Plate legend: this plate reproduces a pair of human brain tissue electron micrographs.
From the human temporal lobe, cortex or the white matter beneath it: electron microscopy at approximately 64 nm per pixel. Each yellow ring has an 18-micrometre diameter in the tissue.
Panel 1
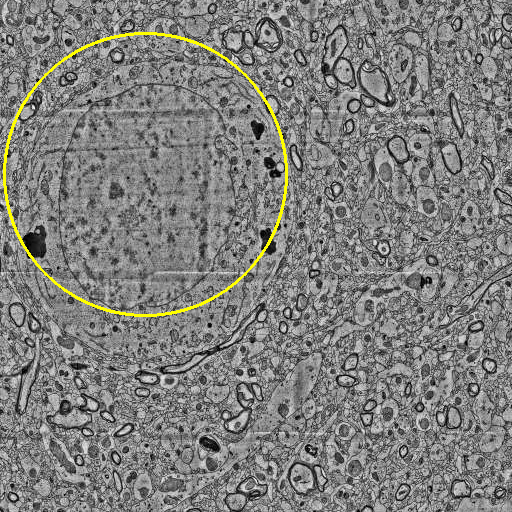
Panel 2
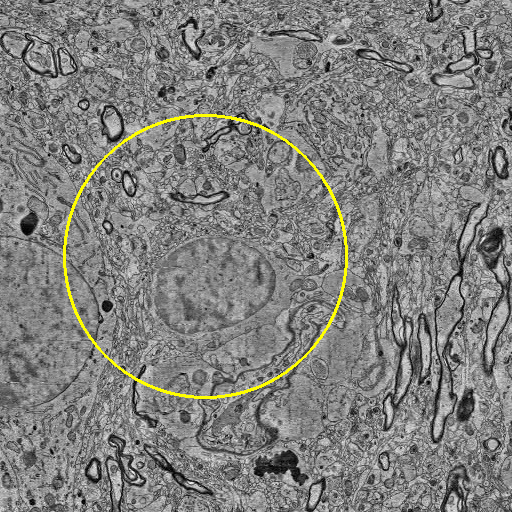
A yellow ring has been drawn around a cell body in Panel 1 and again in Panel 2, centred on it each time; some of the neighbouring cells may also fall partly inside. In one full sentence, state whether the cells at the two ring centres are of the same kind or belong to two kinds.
The ring-centred cells of Panel 1 and Panel 2 belong to two kinds.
